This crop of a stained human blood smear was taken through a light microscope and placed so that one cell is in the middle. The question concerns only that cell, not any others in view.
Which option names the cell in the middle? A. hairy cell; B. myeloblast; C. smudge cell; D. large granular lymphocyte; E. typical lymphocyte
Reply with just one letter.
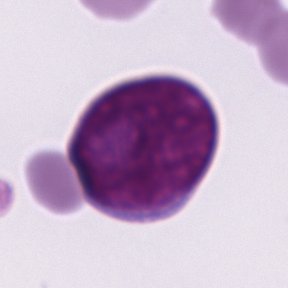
B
